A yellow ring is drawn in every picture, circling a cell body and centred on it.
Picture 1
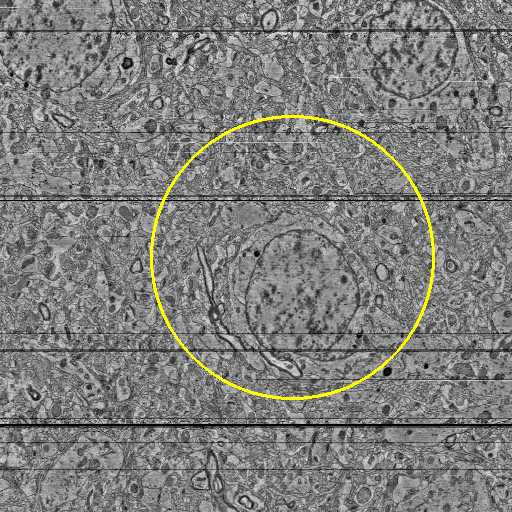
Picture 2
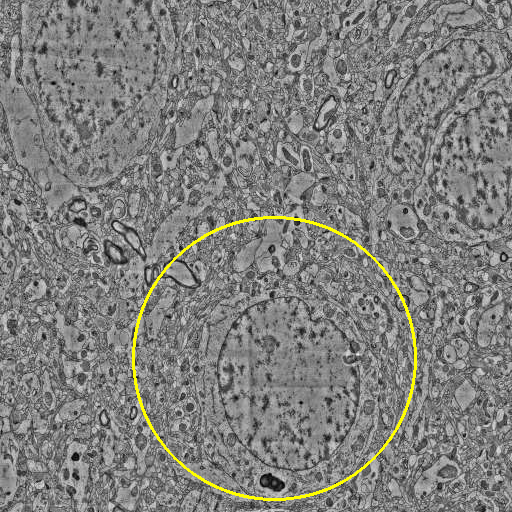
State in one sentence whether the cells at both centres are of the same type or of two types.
The cells at the two ring centres, one per picture, are of the same type.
